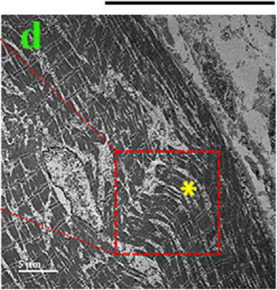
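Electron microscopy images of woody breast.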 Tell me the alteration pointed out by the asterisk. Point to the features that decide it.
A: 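Myofibrils near the asterisk bend in undulating curves instead of running straight. Striations elsewhere in the panel run in straight parallel lines. The answer: wave-like pattern in myofibers.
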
